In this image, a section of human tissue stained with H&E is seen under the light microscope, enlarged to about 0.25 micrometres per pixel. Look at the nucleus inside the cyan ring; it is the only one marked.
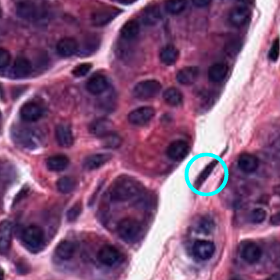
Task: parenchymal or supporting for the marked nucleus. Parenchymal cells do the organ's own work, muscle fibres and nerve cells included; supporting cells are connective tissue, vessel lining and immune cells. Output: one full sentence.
The marked nucleus is that of a supporting cell.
